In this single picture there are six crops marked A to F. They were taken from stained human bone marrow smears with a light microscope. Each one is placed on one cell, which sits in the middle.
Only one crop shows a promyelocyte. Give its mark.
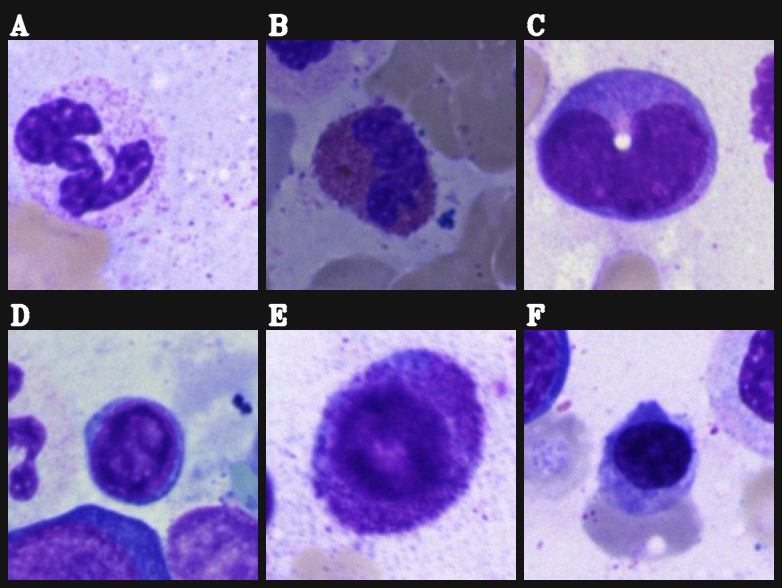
E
